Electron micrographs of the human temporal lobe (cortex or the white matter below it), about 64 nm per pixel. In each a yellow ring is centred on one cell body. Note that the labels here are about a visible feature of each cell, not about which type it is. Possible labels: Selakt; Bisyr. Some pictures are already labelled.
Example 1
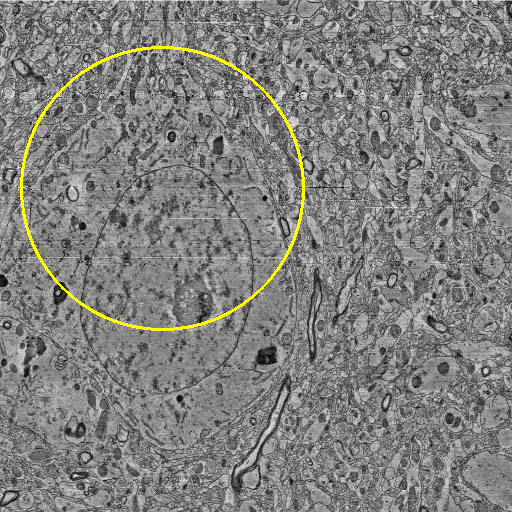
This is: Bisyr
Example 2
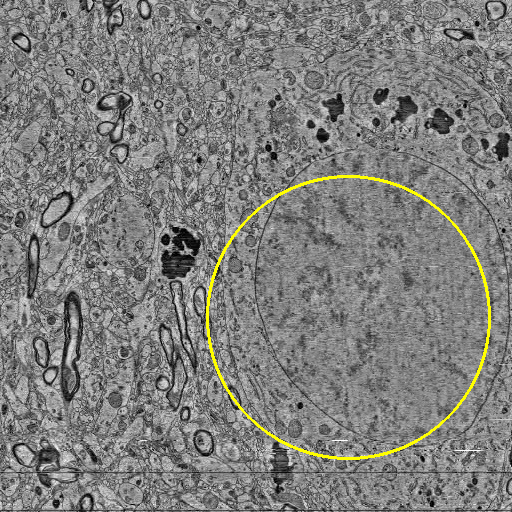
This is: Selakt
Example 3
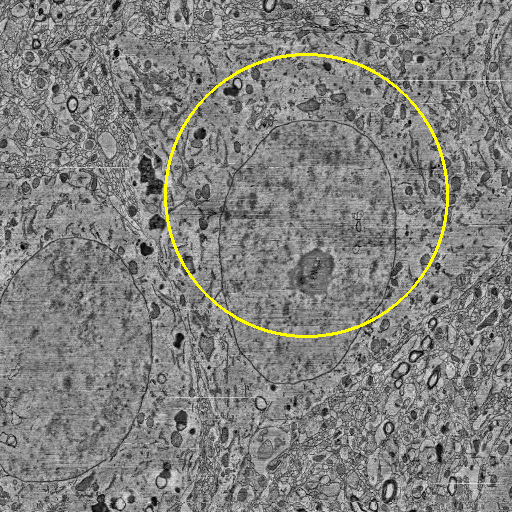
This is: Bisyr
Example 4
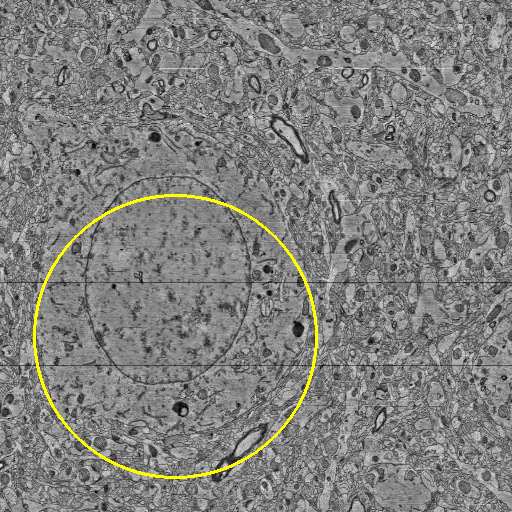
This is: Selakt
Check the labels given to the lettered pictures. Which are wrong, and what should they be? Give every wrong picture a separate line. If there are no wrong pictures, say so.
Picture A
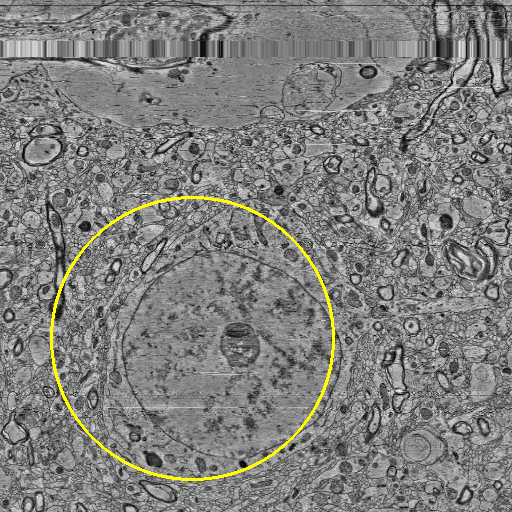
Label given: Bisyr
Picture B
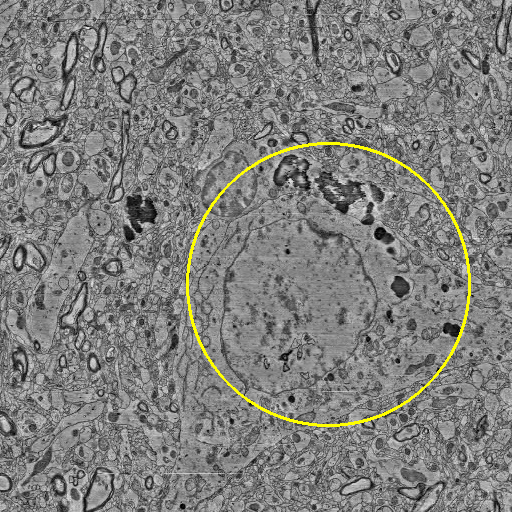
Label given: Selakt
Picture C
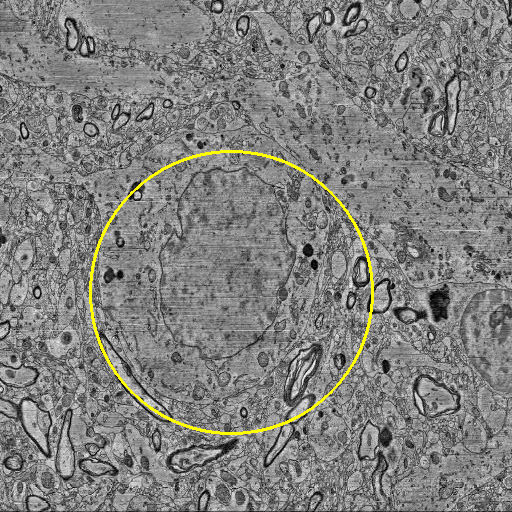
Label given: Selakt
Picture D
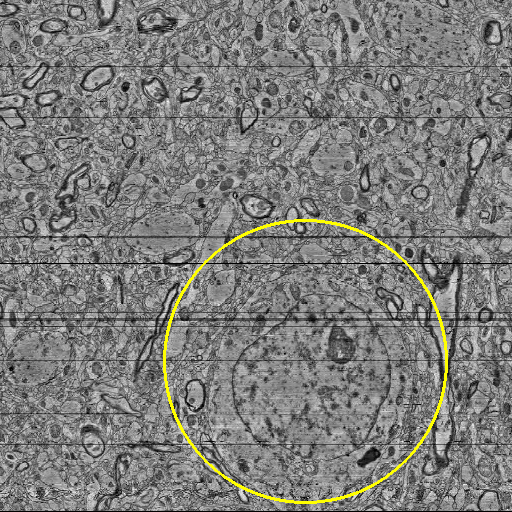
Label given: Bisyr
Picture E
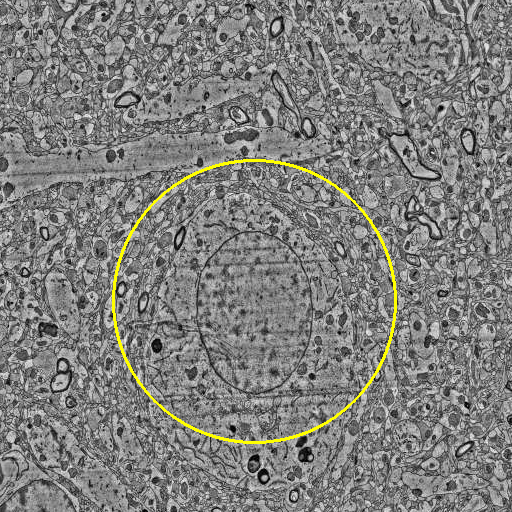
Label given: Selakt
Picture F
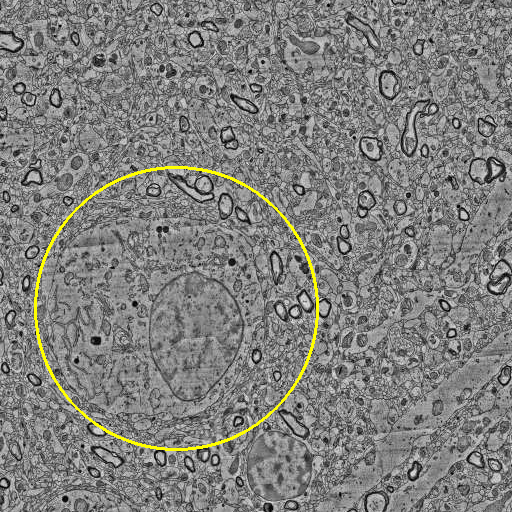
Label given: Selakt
All labels are correct.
